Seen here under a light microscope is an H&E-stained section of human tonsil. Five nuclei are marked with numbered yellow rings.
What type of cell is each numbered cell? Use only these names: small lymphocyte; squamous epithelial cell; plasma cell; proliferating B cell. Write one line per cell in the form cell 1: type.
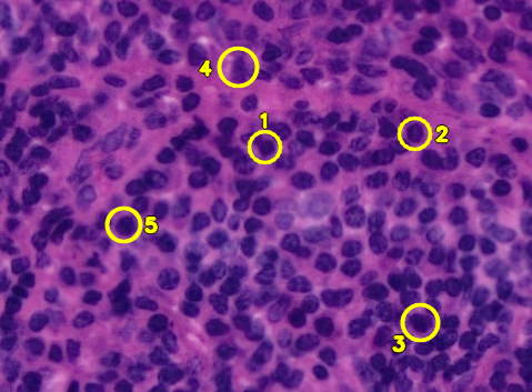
cell 1: plasma cell
cell 2: plasma cell
cell 3: small lymphocyte
cell 4: squamous epithelial cell
cell 5: plasma cell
